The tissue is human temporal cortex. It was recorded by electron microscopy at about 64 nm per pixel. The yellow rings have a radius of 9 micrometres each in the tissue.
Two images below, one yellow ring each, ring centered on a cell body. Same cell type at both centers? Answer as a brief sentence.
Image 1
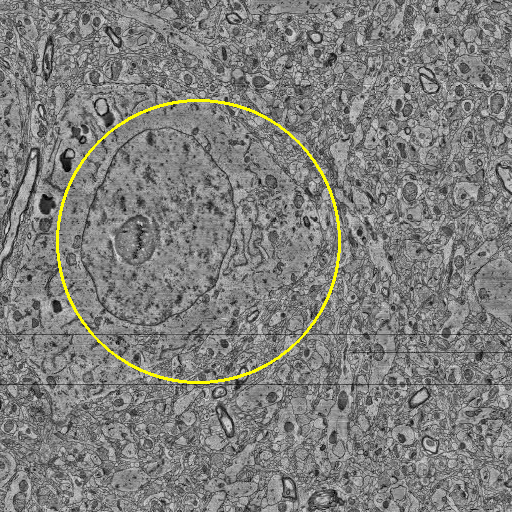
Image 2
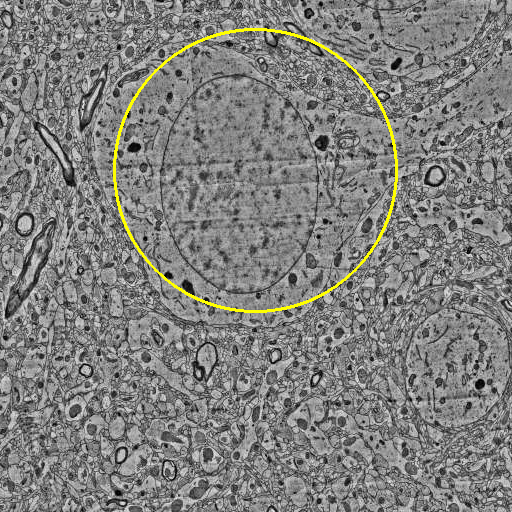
Yes, both cells are of the same type.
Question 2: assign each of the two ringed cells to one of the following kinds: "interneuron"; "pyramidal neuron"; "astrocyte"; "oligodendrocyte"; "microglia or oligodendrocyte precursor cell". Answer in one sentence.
Both cells are the same kind, each one being a pyramidal neuron.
